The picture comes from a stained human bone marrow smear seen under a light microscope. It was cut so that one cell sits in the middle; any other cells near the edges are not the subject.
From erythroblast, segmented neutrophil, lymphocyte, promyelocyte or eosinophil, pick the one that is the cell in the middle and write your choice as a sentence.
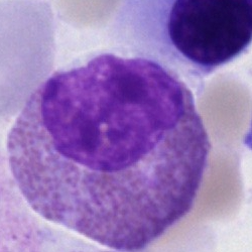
Centrally within this crop lies an eosinophil.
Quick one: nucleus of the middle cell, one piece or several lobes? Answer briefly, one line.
One compact mass makes up the whole nucleus, round, oval or kidney-shaped.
